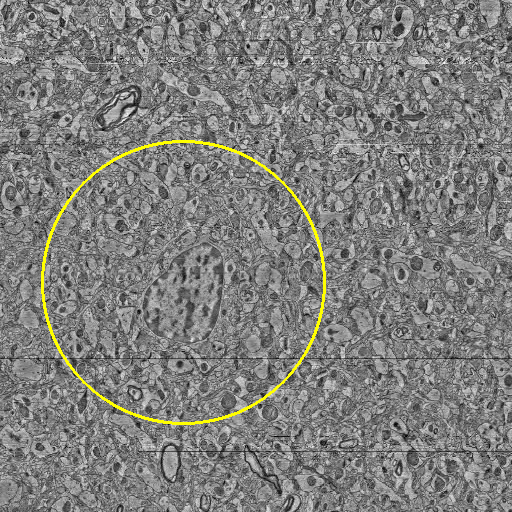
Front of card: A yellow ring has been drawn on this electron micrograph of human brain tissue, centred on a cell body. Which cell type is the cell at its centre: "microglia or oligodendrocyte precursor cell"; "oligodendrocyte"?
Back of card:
microglia or oligodendrocyte precursor cell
